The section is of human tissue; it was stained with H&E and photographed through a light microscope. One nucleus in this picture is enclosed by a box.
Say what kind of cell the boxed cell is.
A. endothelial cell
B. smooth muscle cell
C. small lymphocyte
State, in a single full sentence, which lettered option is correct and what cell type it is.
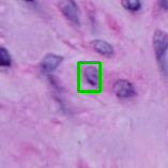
Option B holds, since the boxed cell is a smooth muscle cell.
